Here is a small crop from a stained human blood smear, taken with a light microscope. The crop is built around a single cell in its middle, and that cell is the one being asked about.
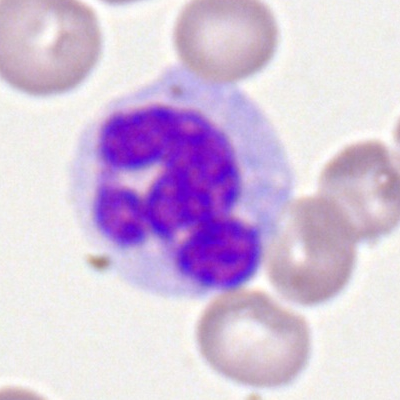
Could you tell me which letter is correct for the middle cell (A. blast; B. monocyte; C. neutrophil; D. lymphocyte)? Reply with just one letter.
B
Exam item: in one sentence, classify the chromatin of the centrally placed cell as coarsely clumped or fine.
The chromatin pattern here is coarse and clumped.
